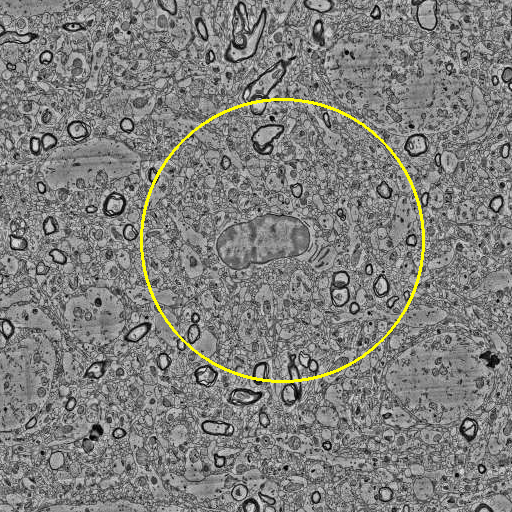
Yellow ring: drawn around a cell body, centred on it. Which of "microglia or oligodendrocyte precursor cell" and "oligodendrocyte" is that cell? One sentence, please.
That cell body is from a microglial cell or oligodendrocyte precursor cell.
